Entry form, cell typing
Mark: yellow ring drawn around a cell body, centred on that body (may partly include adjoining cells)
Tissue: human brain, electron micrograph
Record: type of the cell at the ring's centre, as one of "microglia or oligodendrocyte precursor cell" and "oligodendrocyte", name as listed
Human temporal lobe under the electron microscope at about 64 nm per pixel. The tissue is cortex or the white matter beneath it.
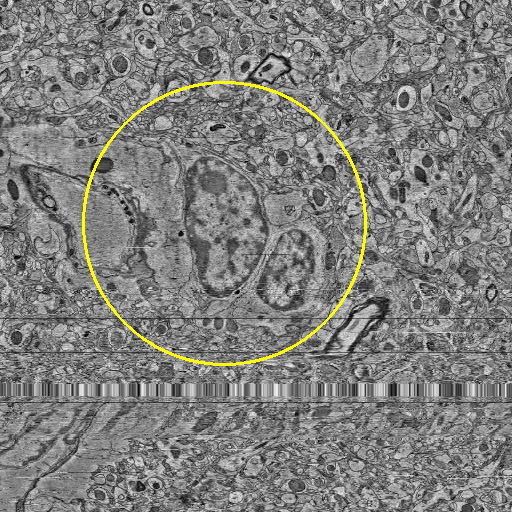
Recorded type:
microglia or oligodendrocyte precursor cell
